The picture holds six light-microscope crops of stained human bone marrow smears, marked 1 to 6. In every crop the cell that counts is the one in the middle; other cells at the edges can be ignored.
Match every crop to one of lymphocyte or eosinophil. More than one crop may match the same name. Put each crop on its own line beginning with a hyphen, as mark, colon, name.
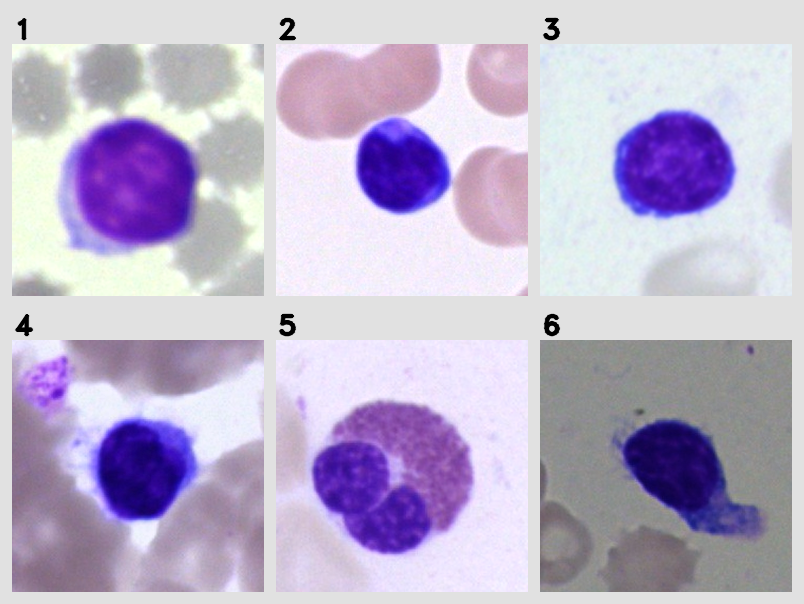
- 1: lymphocyte
- 2: lymphocyte
- 3: lymphocyte
- 4: lymphocyte
- 5: eosinophil
- 6: lymphocyte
